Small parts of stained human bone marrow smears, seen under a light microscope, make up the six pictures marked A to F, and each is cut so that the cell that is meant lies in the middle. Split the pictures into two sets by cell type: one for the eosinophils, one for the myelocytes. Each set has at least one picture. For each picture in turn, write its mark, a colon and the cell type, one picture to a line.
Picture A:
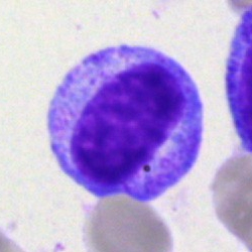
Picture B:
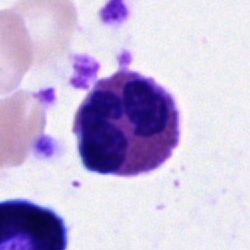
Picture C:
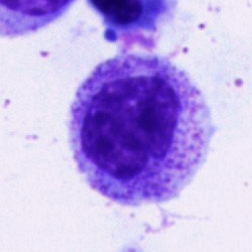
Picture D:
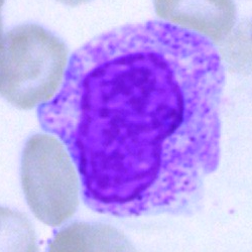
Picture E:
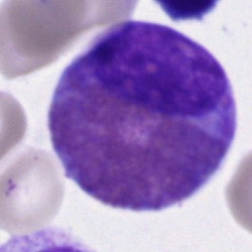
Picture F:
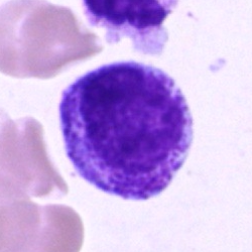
A: myelocyte
B: eosinophil
C: myelocyte
D: myelocyte
E: eosinophil
F: myelocyte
